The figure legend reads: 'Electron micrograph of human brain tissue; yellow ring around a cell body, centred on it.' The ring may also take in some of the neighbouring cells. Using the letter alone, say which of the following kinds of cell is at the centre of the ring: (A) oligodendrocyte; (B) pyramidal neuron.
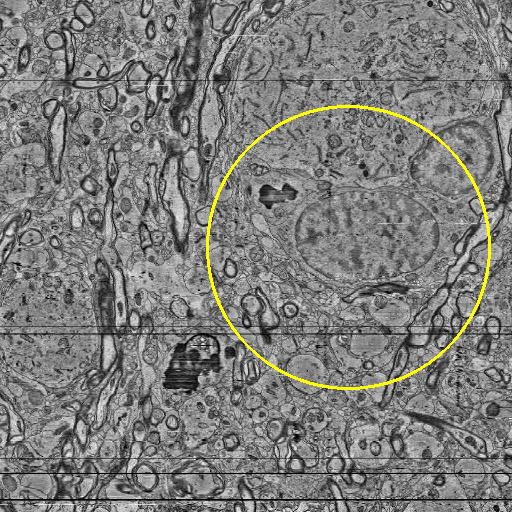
A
